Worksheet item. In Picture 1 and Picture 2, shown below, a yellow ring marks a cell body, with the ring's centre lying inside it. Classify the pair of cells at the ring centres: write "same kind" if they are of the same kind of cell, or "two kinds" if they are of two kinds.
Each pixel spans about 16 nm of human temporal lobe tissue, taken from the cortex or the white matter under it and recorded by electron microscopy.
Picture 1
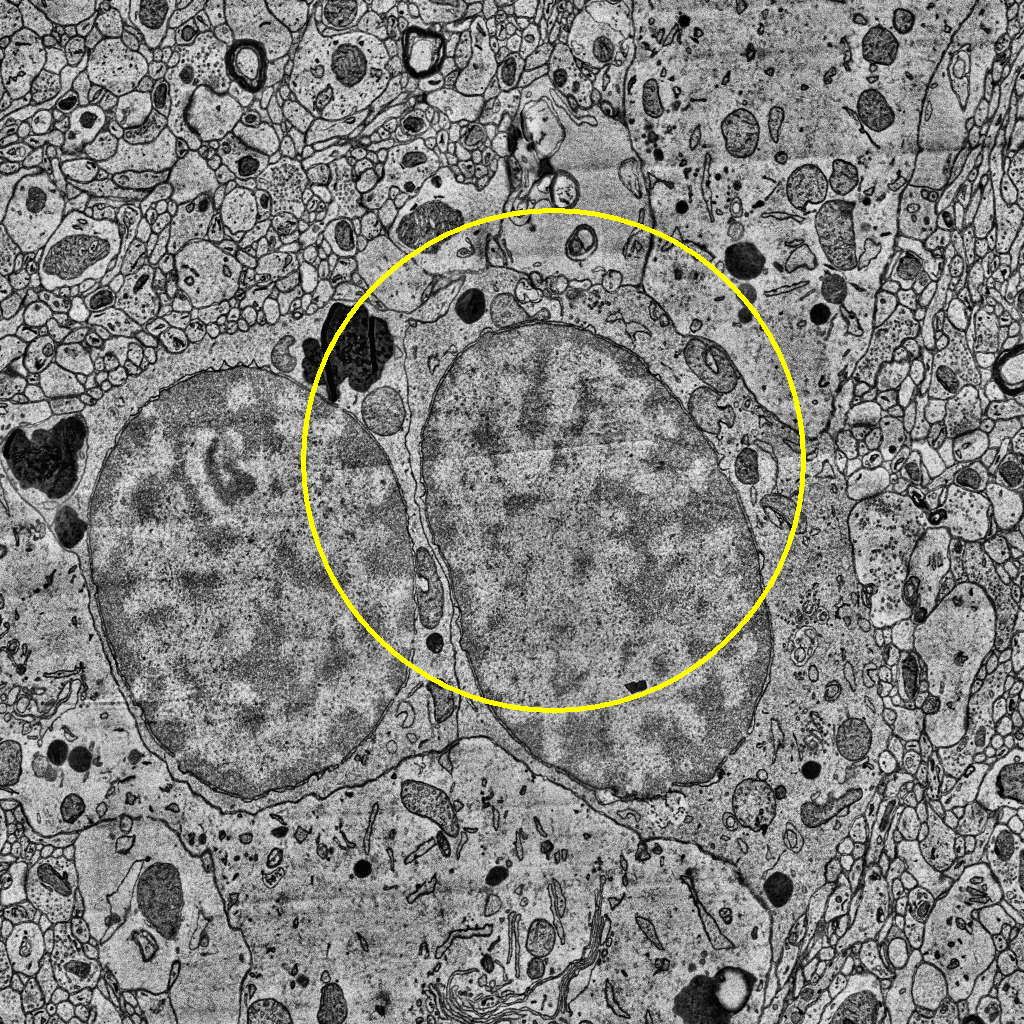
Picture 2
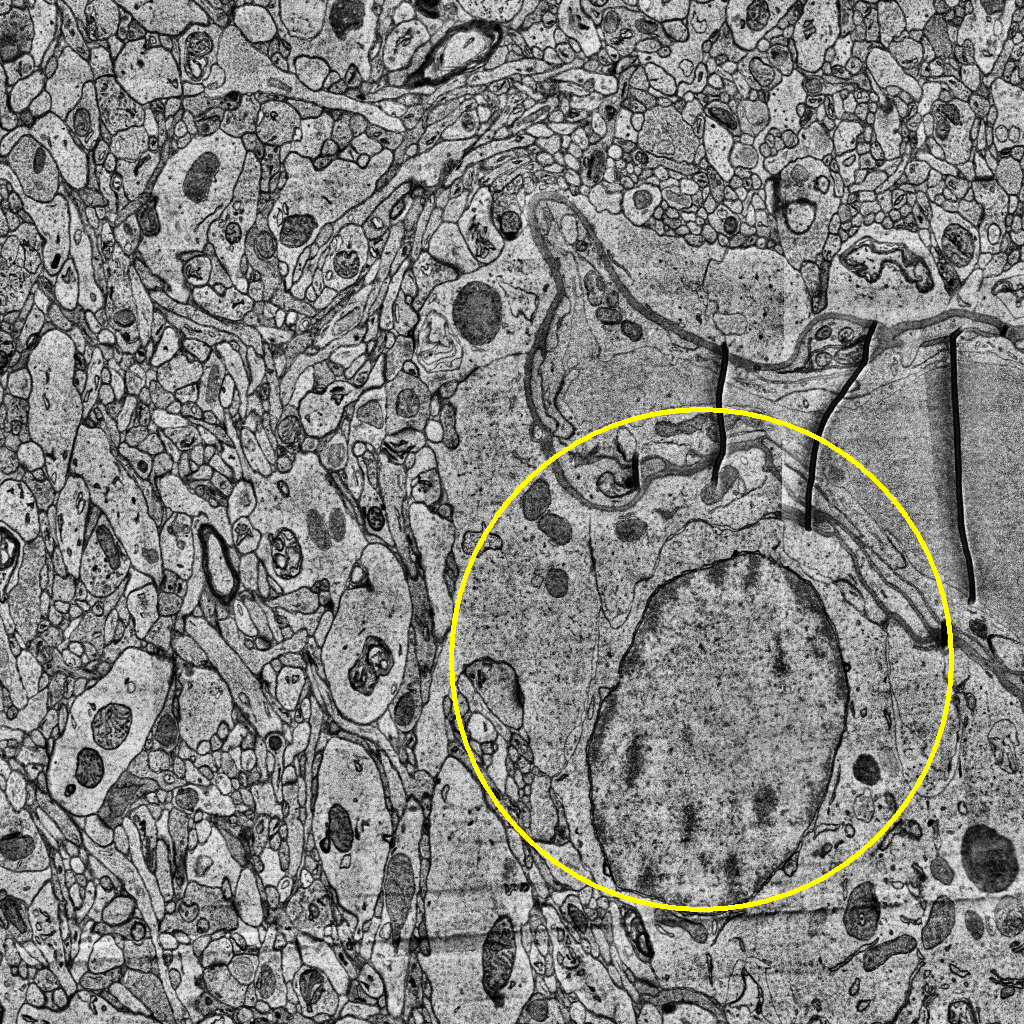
two kinds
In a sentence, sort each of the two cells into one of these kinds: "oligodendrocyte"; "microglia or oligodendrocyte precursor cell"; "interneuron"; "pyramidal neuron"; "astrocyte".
In the first picture it is an oligodendrocyte; in the second it is a microglial cell or oligodendrocyte precursor cell.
